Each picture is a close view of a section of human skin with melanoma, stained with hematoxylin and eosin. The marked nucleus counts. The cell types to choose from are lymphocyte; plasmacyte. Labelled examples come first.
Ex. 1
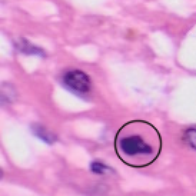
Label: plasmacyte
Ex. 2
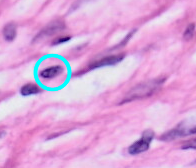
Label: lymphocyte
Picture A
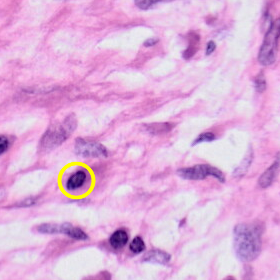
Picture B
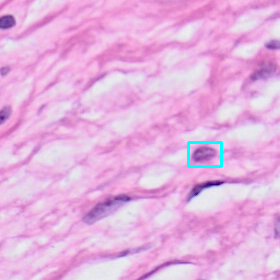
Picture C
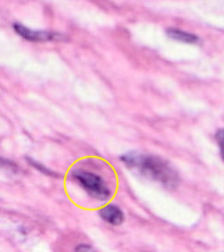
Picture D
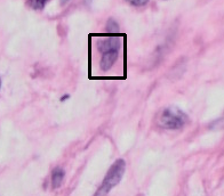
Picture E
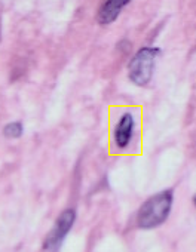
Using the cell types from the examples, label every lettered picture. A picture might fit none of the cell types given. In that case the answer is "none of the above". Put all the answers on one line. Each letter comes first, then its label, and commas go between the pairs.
A plasmacyte, B none of the above, C none of the above, D none of the above, E lymphocyte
